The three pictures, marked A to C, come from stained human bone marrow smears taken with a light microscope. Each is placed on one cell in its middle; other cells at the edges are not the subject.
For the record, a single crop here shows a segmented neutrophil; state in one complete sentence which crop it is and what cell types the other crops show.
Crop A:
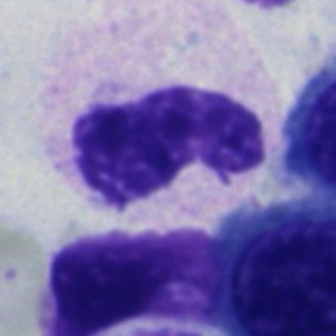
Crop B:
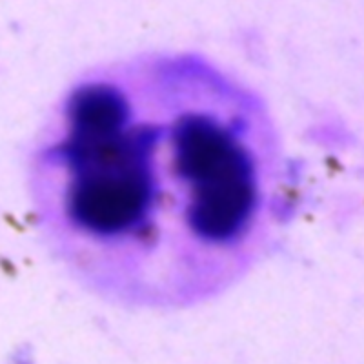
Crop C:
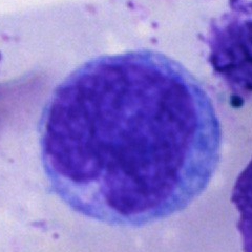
The cell sitting in crop B is a segmented neutrophil, while crop A is a band neutrophil and crop C is a monocyte.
